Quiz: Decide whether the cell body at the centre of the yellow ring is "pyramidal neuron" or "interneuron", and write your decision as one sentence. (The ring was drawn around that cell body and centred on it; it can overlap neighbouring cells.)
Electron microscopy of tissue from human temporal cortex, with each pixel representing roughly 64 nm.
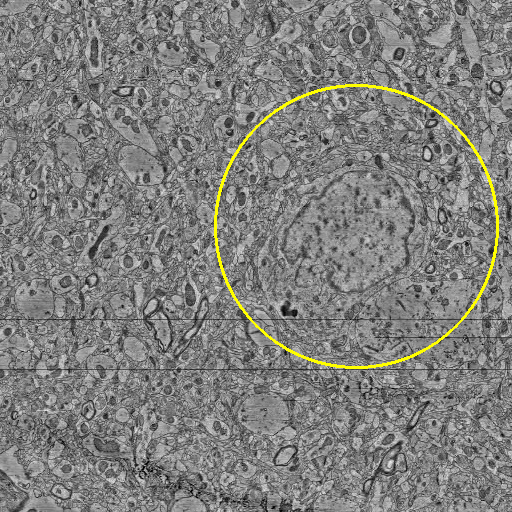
The cell the ring is centred on is an interneuron.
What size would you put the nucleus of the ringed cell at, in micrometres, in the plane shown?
About 8 micrometres across in this plane, for the nucleus.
